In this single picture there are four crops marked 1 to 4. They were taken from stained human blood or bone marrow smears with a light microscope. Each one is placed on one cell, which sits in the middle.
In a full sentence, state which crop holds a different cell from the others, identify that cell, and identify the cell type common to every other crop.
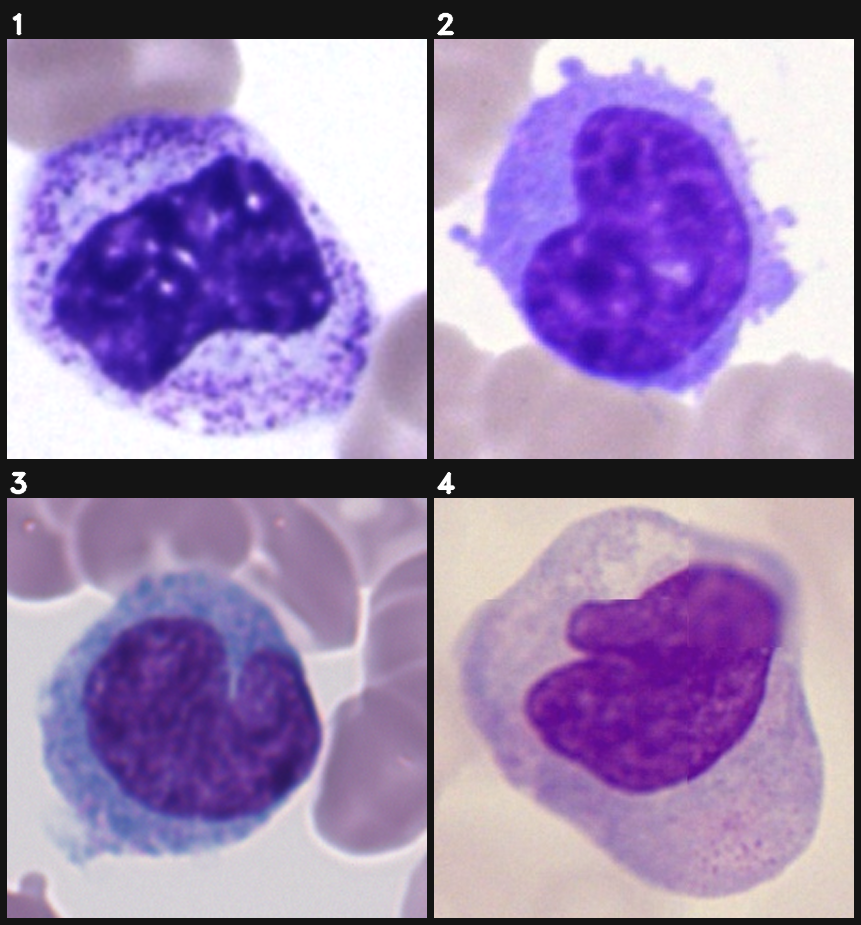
Unlike the other crops, which all show monocytes, crop 1 is a band neutrophil.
